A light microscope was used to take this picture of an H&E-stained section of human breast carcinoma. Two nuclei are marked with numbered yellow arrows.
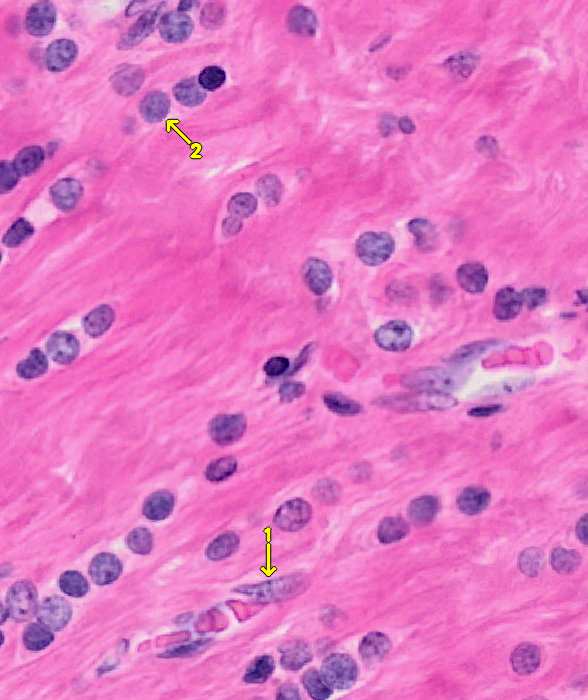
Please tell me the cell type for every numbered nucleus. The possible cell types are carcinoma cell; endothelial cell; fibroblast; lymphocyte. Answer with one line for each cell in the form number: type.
1: endothelial cell
2: carcinoma cell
